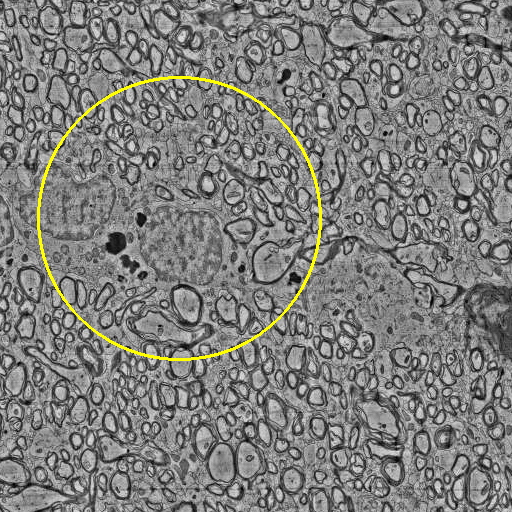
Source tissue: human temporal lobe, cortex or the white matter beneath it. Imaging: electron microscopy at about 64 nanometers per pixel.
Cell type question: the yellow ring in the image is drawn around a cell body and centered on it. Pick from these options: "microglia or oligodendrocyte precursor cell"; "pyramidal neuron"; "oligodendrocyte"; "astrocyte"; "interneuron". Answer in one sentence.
The ringed cell at the center is an oligodendrocyte.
